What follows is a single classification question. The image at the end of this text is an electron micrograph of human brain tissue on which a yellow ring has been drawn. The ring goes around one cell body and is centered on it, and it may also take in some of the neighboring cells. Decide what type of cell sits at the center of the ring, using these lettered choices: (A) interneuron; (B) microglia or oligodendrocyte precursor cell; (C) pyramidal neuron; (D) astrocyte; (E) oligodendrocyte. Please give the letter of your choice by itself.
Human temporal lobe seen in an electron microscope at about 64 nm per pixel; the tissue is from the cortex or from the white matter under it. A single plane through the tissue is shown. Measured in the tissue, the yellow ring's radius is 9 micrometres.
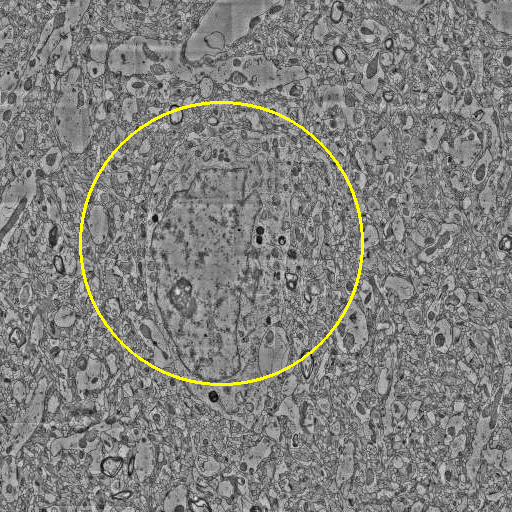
A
